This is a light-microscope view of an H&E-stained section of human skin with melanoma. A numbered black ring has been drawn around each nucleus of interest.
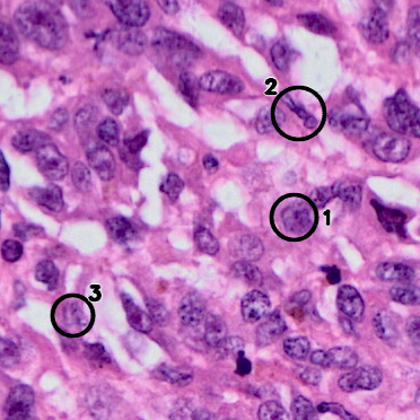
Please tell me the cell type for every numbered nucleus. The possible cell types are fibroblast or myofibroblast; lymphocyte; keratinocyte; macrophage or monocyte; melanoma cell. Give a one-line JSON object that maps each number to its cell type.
{"1": "melanoma cell", "2": "macrophage or monocyte", "3": "melanoma cell"}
